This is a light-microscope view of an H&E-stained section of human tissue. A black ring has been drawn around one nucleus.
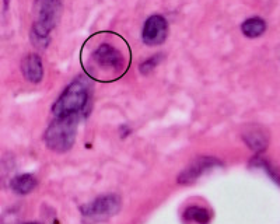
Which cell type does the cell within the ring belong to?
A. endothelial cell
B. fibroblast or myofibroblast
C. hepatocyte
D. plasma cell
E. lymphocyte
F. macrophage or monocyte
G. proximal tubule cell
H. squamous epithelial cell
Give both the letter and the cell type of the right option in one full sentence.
Among the choices, option D is correct, the cell within the ring being a plasma cell.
